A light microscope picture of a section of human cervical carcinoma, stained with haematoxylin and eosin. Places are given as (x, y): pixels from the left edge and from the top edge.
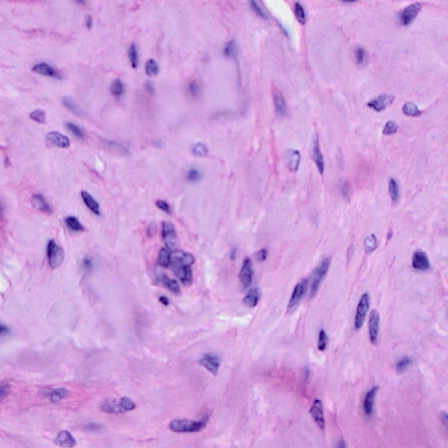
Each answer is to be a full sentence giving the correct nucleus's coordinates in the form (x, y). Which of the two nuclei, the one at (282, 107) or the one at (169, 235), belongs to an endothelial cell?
The nucleus positioned at (169, 235) is the one that belongs to an endothelial cell.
